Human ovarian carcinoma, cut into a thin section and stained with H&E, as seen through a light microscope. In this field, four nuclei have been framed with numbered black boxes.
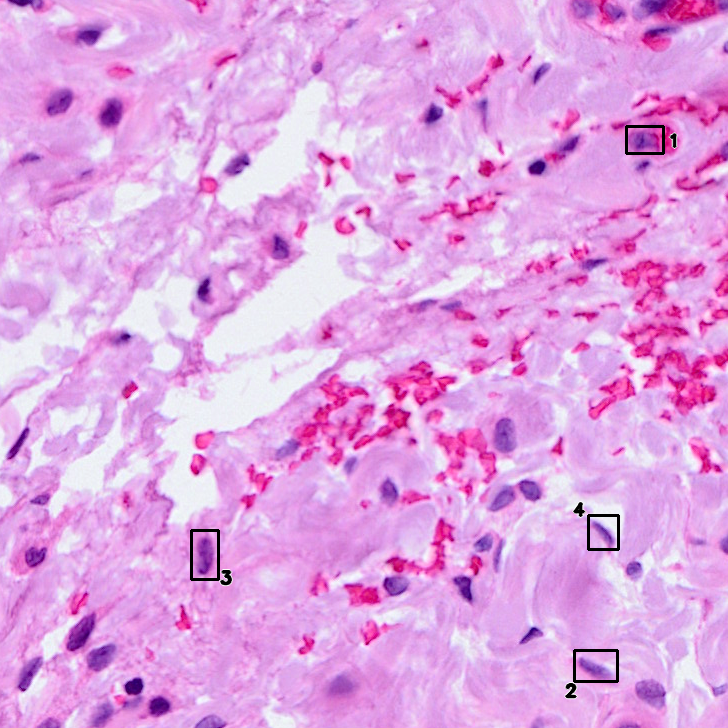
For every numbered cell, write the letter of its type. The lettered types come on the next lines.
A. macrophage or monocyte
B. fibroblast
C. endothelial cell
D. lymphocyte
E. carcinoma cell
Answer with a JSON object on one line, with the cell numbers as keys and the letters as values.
{"1": "C", "2": "B", "3": "B", "4": "B"}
